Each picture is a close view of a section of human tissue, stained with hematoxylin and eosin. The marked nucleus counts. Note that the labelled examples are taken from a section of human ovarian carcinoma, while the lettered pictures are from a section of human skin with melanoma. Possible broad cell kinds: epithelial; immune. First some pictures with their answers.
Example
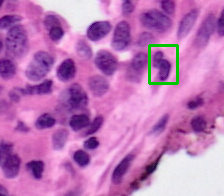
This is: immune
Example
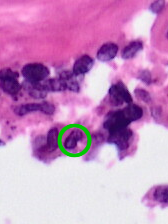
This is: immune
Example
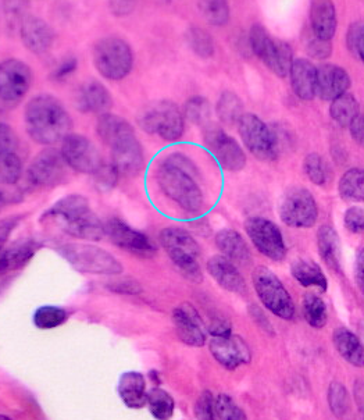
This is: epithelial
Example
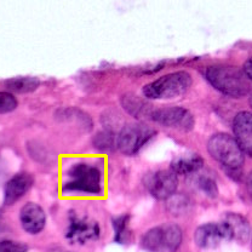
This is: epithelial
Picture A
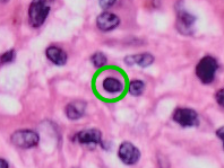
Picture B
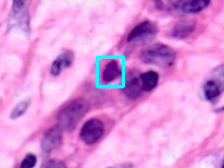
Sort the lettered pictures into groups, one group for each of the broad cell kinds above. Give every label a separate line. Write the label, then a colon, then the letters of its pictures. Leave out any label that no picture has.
epithelial: B
immune: A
